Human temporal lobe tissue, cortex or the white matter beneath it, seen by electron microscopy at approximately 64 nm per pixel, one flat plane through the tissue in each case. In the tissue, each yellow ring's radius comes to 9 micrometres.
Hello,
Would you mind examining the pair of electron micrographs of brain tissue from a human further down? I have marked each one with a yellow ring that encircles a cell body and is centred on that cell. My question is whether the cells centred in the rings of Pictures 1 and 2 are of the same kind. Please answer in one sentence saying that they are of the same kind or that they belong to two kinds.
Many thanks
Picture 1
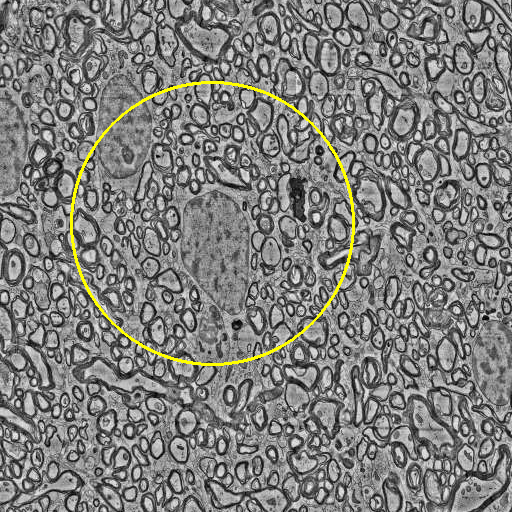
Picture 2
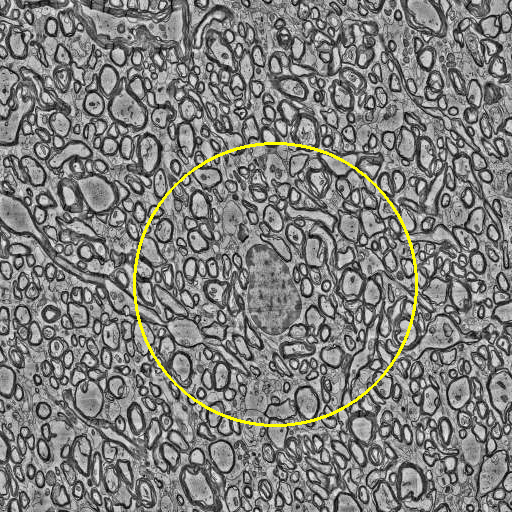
In Pictures 1 and 2, the cells at the heart of the rings are of the same kind.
